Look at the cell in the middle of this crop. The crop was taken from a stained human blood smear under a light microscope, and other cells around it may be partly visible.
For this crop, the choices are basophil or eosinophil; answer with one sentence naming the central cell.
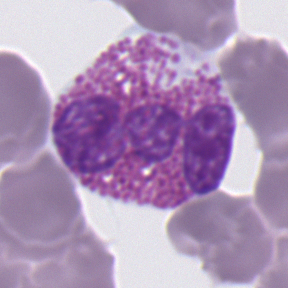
Framed in the middle of the crop is an eosinophil.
